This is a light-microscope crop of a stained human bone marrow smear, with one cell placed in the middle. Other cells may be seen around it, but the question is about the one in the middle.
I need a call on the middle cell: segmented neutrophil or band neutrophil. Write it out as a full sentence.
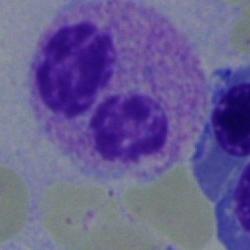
This crop has a segmented neutrophil at its centre.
